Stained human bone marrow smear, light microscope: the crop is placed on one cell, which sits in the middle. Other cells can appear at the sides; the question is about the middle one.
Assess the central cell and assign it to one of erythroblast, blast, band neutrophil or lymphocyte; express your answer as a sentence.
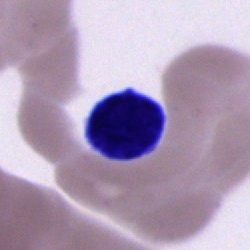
Located at the centre of the crop is a lymphocyte.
